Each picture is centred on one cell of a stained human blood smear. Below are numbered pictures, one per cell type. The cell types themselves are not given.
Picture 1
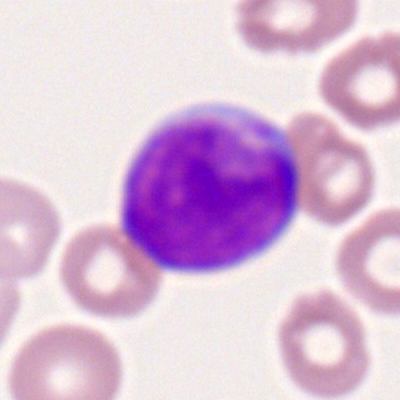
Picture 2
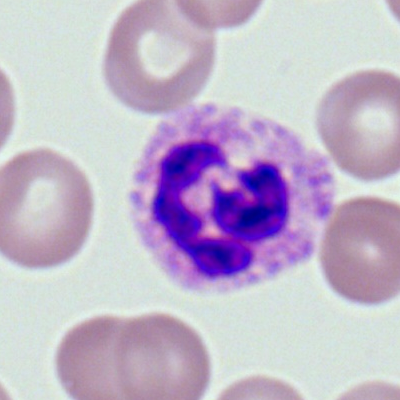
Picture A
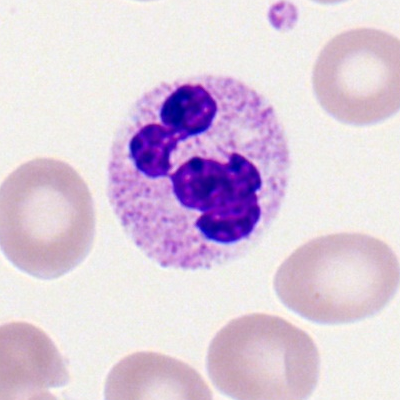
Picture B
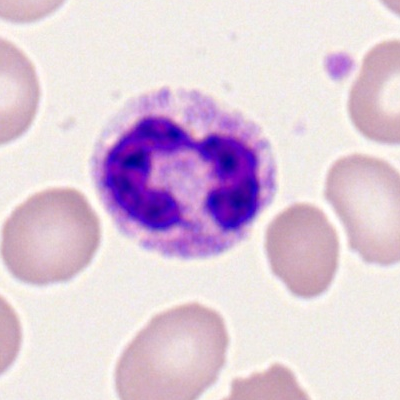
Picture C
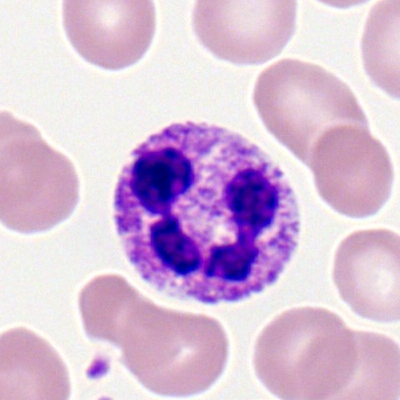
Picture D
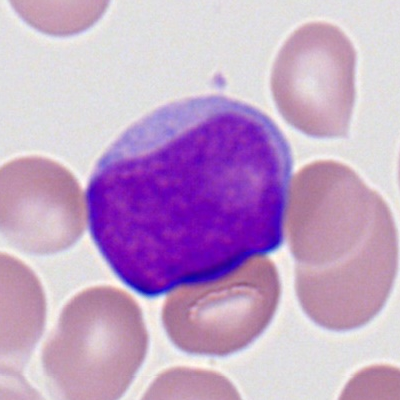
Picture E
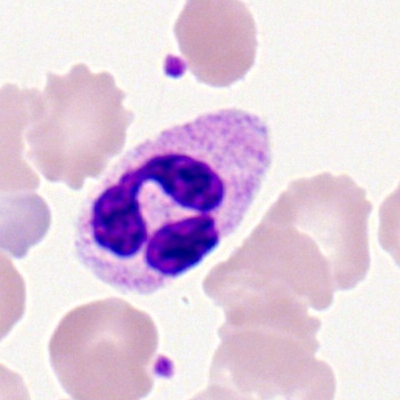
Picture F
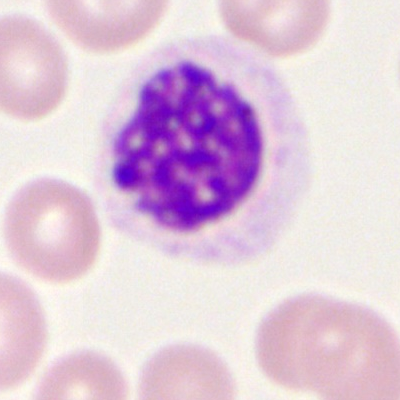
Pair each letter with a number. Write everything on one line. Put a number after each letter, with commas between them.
A 2, B 2, C 2, D 1, E 2, F 2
